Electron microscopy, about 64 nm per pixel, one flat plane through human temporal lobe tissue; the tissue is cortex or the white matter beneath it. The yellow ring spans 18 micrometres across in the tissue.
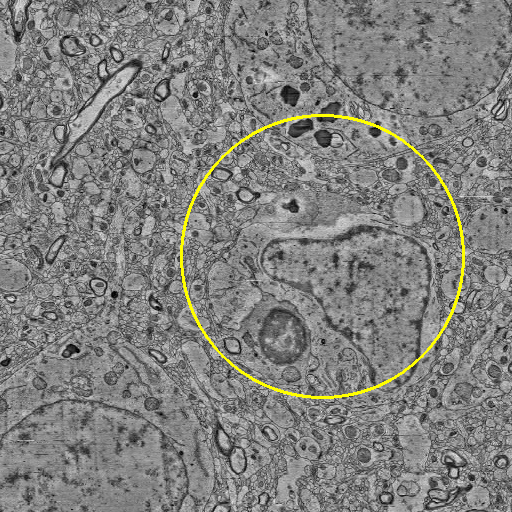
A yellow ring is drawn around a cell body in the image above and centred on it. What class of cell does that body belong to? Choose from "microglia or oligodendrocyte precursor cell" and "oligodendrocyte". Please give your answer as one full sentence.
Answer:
The yellow ring above is centred on the cell body of a microglial cell or oligodendrocyte precursor cell.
